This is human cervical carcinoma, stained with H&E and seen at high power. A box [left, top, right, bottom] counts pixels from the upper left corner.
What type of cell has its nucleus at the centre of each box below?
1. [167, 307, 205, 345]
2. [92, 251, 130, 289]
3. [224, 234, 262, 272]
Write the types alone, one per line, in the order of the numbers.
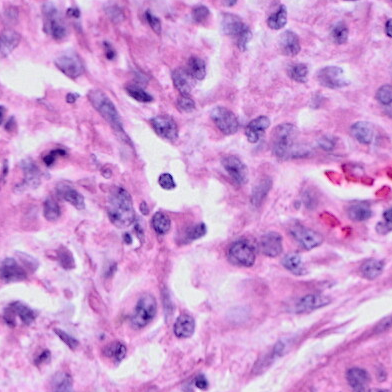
macrophage or monocyte
fibroblast
macrophage or monocyte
